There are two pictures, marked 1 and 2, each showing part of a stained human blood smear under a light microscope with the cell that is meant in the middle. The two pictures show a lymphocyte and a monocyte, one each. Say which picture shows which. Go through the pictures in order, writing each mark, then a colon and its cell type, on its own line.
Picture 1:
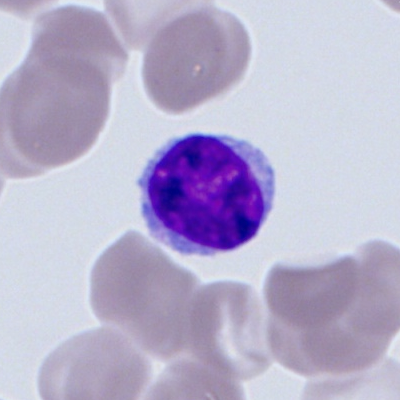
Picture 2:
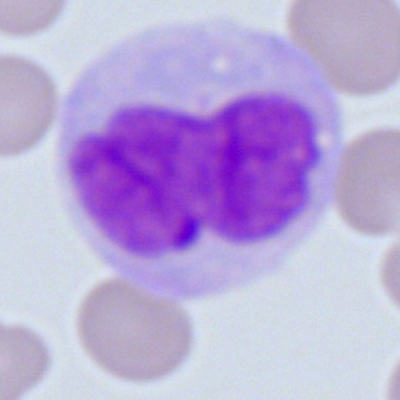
1: lymphocyte
2: monocyte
